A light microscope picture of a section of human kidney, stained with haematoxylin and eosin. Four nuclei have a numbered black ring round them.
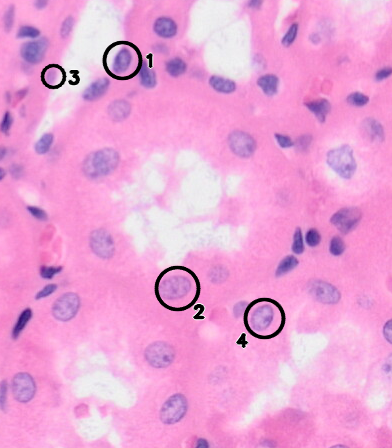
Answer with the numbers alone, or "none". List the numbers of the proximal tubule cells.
2, 4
